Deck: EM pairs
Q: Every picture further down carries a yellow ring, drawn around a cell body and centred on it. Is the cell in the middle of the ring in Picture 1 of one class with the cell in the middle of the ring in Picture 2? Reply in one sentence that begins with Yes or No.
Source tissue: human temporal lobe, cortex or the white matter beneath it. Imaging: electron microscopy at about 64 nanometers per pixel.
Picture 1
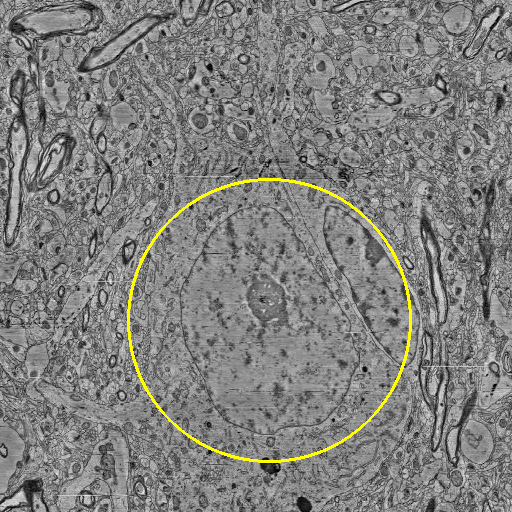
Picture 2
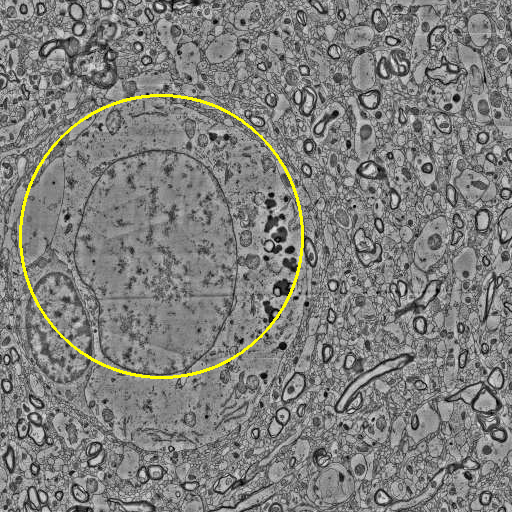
Yes, the cell centred in the ring of Picture 1 and the one in Picture 2 belong to one class.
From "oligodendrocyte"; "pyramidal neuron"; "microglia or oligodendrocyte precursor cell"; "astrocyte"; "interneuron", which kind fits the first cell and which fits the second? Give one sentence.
In the first picture and in the second, the ring is centred on a pyramidal neuron.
